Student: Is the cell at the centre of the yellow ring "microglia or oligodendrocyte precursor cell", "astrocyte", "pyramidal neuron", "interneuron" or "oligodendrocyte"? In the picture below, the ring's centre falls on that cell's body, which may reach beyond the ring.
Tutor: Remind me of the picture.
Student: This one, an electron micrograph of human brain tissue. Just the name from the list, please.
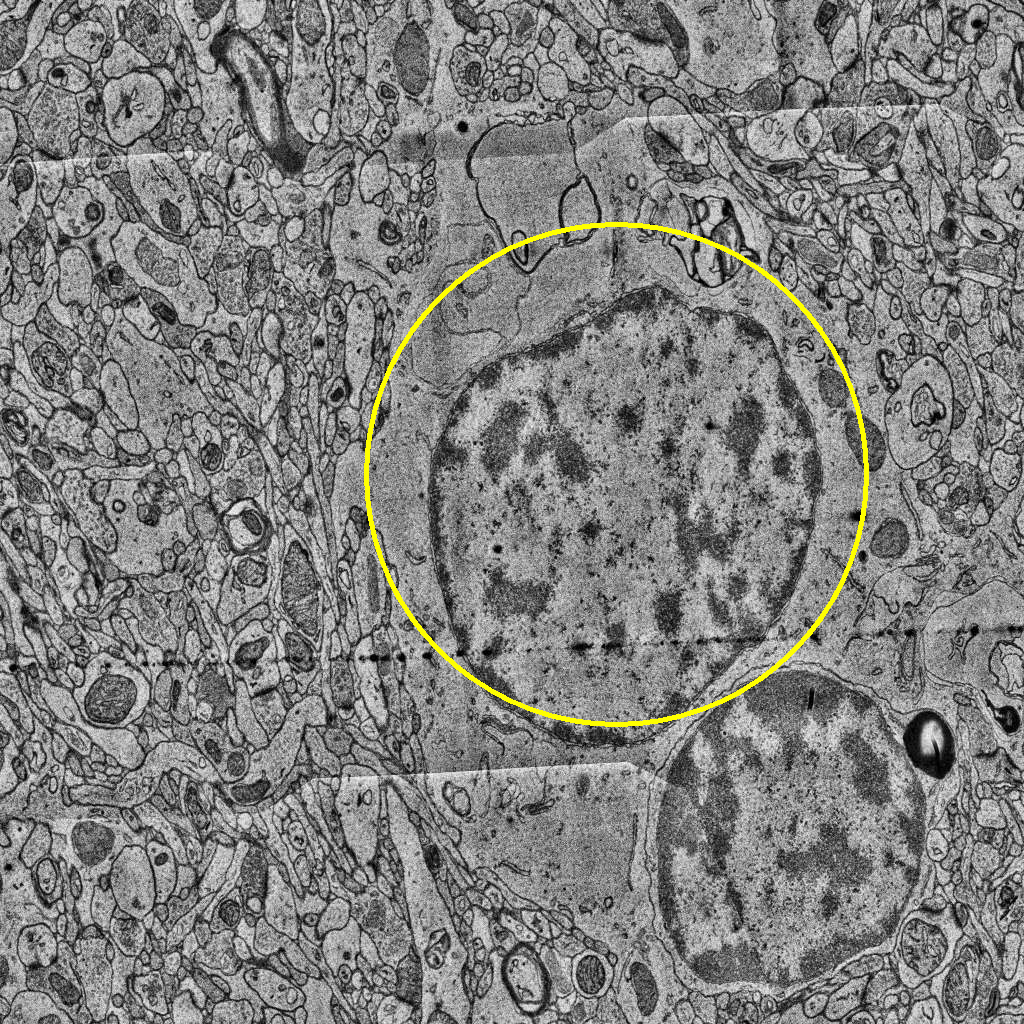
astrocyte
